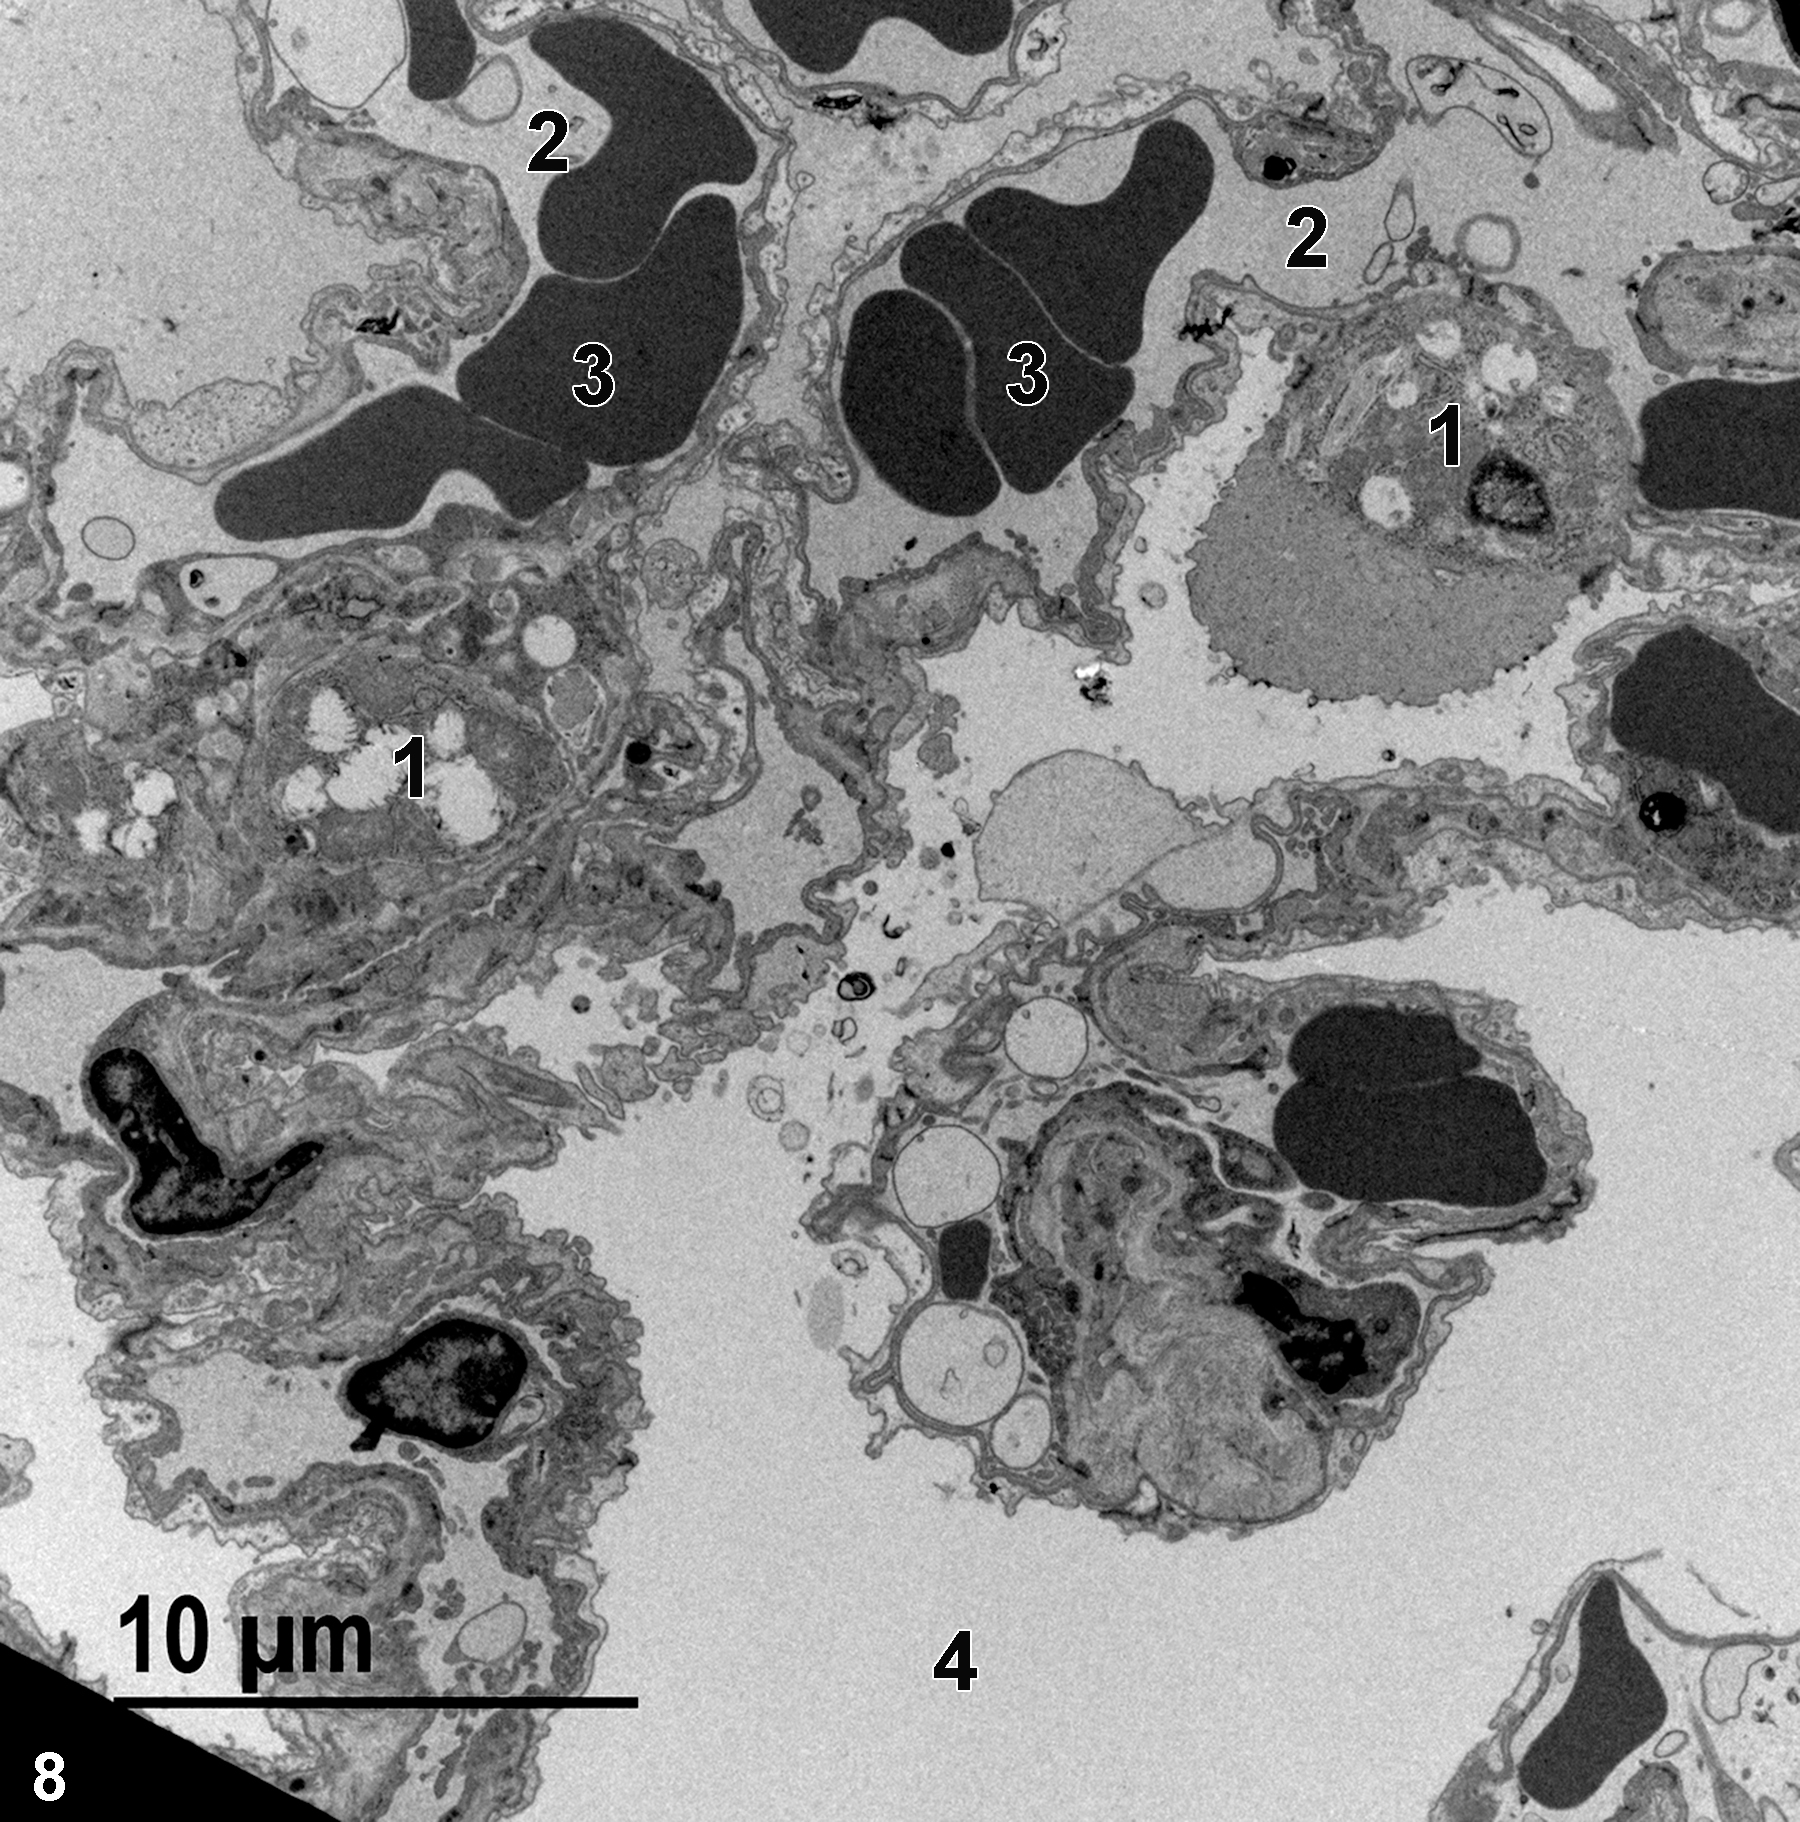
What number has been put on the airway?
The airway: 4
